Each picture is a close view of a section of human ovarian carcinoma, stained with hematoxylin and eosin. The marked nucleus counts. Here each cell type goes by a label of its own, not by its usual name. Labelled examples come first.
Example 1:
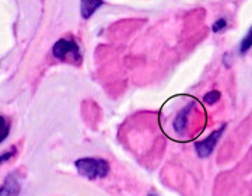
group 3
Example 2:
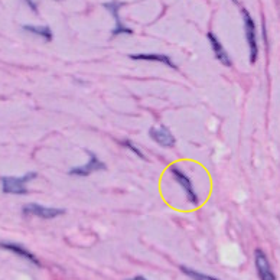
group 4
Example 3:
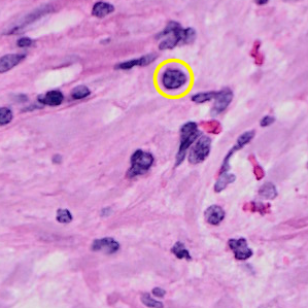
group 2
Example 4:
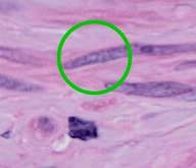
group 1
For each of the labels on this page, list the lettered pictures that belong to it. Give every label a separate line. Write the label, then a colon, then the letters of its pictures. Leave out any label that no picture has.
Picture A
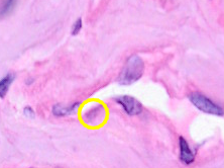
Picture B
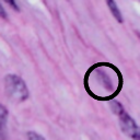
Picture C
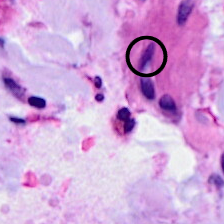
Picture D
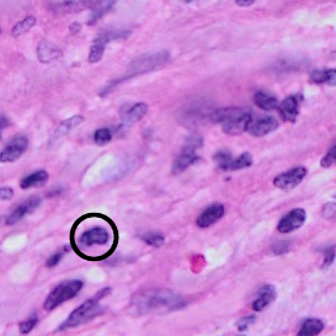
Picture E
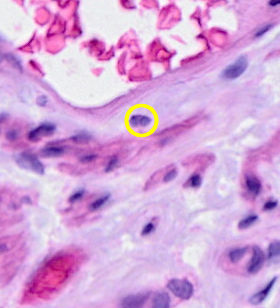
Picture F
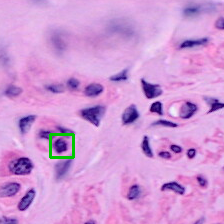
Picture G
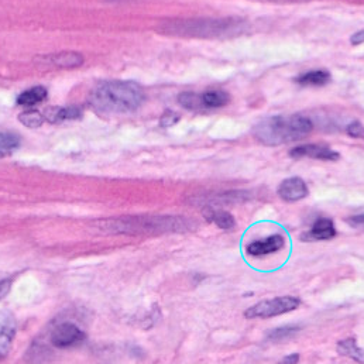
group 3: A
group 4: B
group 2: D, E, G
group 1: C, F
